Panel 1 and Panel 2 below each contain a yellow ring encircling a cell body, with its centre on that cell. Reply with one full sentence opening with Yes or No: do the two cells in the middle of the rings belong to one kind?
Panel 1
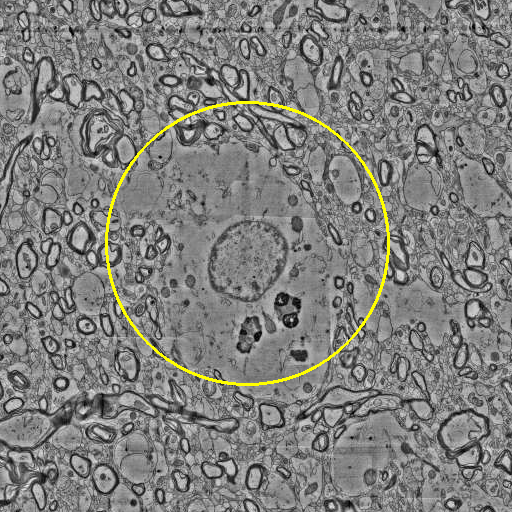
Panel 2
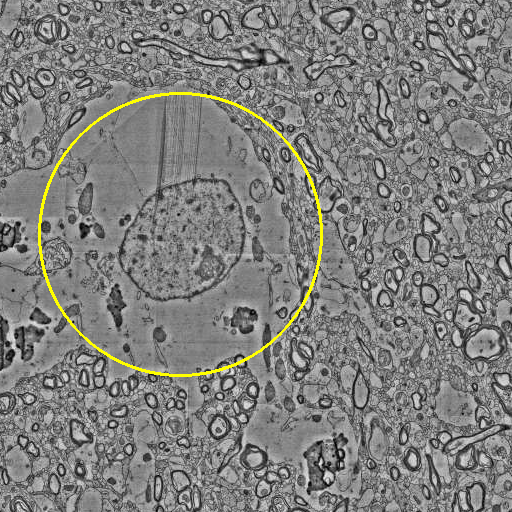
Yes, the cells at the middle of the Panel 1 ring and the Panel 2 ring are of one kind.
